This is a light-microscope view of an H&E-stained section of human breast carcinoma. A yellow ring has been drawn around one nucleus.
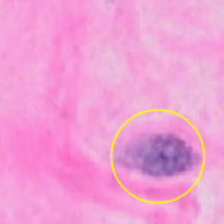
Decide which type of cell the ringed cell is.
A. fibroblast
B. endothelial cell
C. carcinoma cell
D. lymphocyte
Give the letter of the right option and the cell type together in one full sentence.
The correct option is A, and the ringed cell is a fibroblast.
